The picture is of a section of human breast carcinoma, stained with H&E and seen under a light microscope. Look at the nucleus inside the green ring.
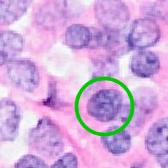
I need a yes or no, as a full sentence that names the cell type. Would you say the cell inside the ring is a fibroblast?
No, the cell inside the ring is regarded as a carcinoma cell rather than a fibroblast.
